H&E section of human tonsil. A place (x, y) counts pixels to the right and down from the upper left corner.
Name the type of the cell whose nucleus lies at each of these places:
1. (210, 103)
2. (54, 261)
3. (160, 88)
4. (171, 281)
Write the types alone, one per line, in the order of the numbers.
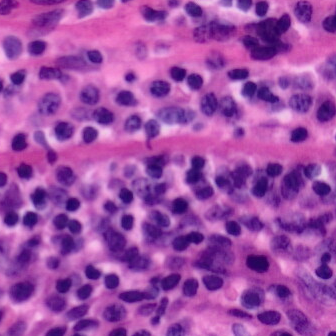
plasma cell
squamous epithelial cell
plasma cell
squamous epithelial cell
